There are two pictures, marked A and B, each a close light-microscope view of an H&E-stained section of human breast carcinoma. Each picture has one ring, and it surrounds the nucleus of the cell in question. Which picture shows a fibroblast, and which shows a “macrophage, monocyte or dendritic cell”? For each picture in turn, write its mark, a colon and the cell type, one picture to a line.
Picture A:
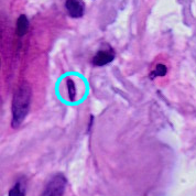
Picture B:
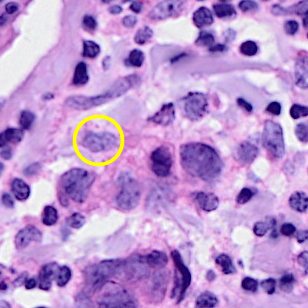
A: fibroblast
B: macrophage, monocyte or dendritic cell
